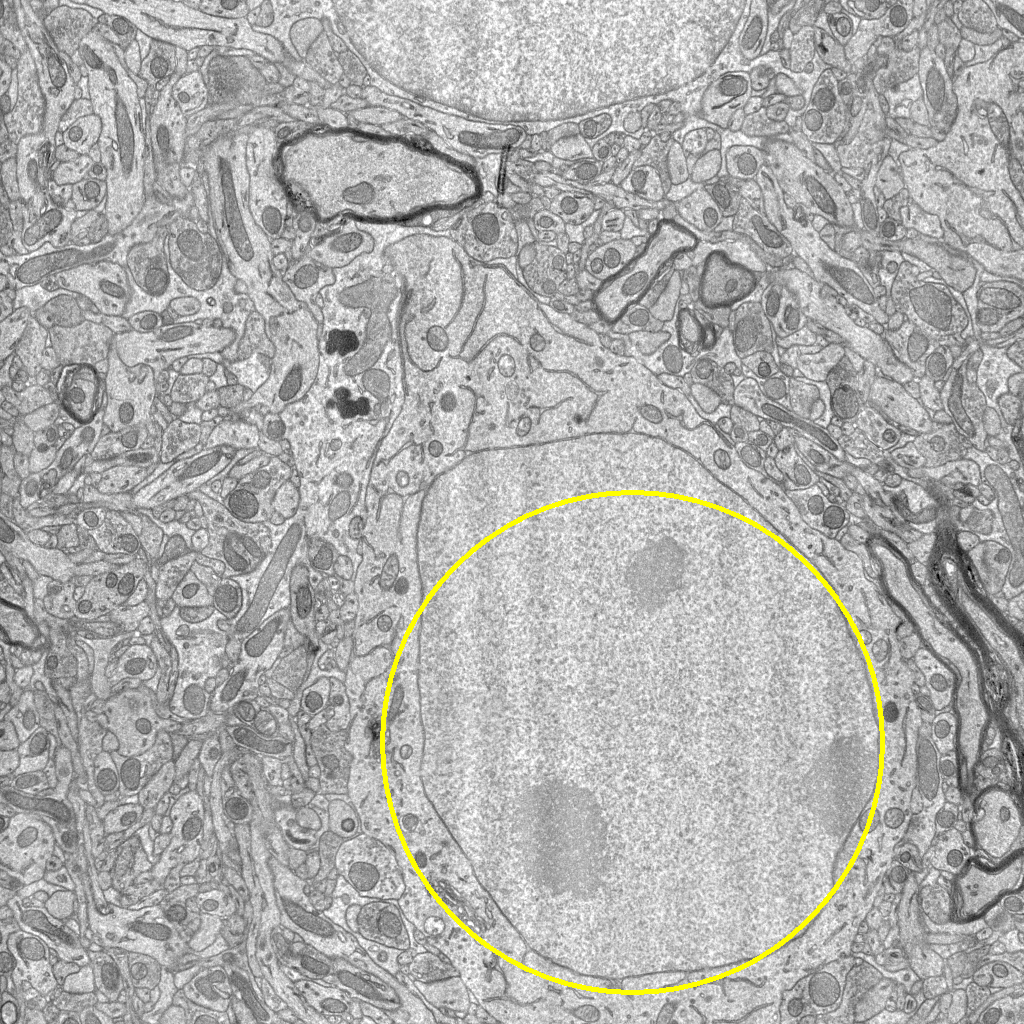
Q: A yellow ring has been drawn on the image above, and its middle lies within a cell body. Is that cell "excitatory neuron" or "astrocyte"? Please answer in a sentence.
The ring's middle lies in the cell body of an excitatory neuron.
